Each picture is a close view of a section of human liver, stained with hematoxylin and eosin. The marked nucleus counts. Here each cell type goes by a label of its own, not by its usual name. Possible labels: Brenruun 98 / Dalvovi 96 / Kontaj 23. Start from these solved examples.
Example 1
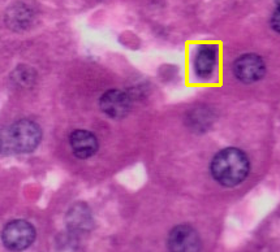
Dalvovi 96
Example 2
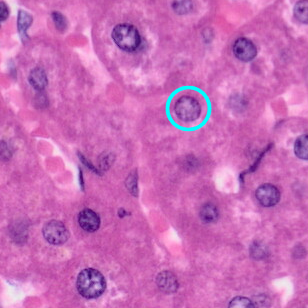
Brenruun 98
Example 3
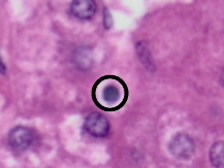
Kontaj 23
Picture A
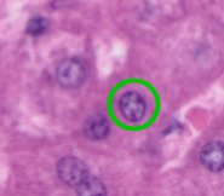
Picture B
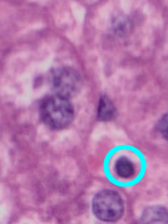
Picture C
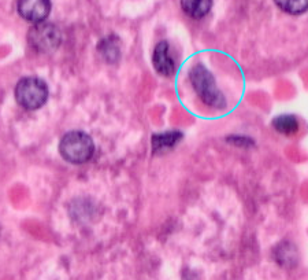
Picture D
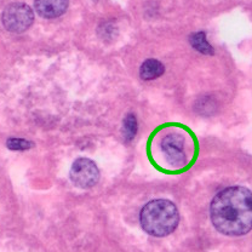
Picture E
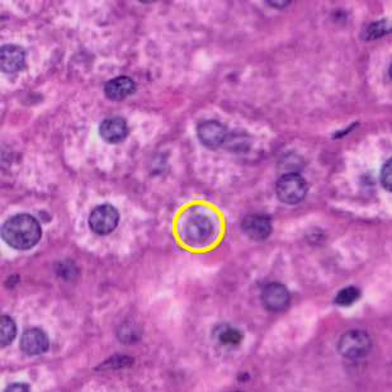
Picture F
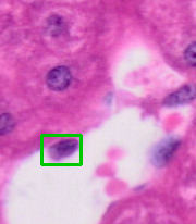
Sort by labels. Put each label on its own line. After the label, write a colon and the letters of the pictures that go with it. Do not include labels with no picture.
Brenruun 98: A, E
Dalvovi 96: C, D, F
Kontaj 23: B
